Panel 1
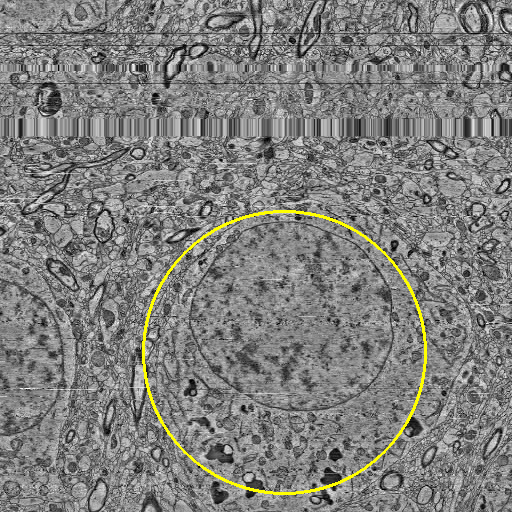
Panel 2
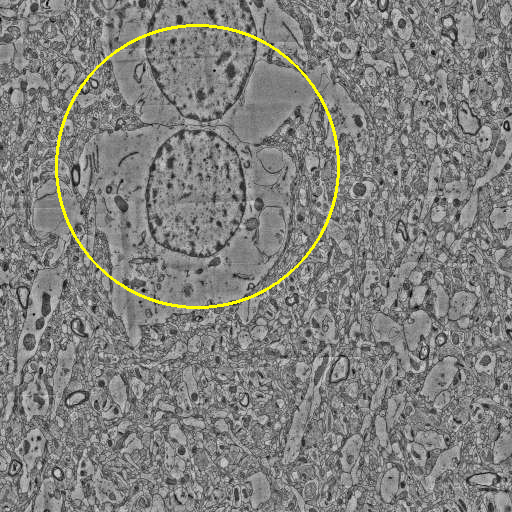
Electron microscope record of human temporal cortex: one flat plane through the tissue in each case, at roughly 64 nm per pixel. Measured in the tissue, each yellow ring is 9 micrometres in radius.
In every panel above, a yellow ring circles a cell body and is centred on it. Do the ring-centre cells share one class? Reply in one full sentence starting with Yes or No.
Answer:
No, the two cells at the ring centres in the panels belong to two classes.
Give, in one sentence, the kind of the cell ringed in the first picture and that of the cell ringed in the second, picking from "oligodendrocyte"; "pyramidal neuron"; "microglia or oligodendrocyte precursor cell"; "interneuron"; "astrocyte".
For the first picture it is a pyramidal neuron; for the second, an astrocyte.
